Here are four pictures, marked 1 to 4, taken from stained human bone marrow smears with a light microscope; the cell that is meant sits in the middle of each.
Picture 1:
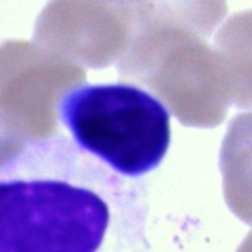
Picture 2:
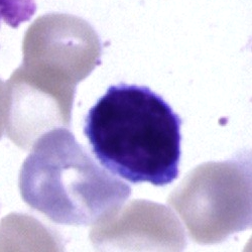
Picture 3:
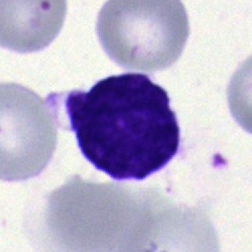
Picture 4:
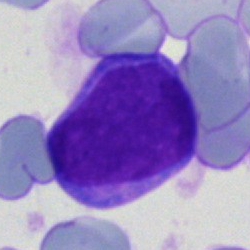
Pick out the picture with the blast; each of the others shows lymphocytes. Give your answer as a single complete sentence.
The picture with the blast is 4.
